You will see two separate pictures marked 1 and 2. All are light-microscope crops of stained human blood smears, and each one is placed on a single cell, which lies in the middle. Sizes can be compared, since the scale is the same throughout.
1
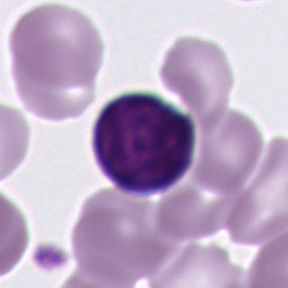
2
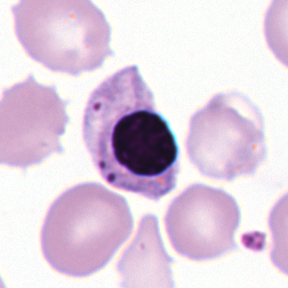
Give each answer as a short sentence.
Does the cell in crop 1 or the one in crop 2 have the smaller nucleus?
Smaller is the nucleus in crop 2, and the other is about 2.5 times as large in area.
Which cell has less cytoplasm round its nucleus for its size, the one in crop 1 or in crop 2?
In crop 1 the nucleus takes up the larger part of its cell.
